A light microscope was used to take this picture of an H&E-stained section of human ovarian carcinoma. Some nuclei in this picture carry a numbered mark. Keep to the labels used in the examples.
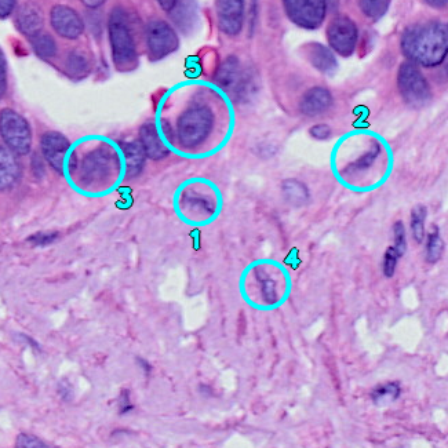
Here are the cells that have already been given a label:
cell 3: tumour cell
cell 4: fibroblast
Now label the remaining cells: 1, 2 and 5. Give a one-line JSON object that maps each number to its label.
{"1": "fibroblast", "2": "fibroblast", "5": "tumour cell"}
